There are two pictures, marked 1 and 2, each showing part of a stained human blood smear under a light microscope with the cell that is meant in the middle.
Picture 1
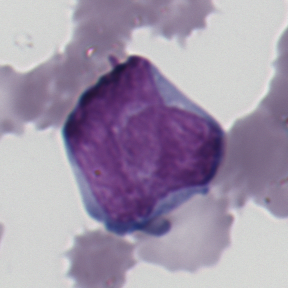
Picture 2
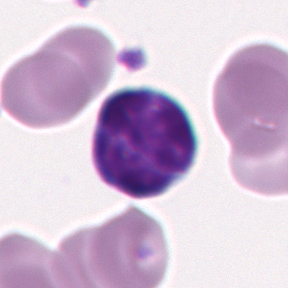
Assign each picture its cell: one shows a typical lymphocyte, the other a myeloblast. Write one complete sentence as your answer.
The cell in picture 1 is a myeloblast, and the one in picture 2 is a typical lymphocyte.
